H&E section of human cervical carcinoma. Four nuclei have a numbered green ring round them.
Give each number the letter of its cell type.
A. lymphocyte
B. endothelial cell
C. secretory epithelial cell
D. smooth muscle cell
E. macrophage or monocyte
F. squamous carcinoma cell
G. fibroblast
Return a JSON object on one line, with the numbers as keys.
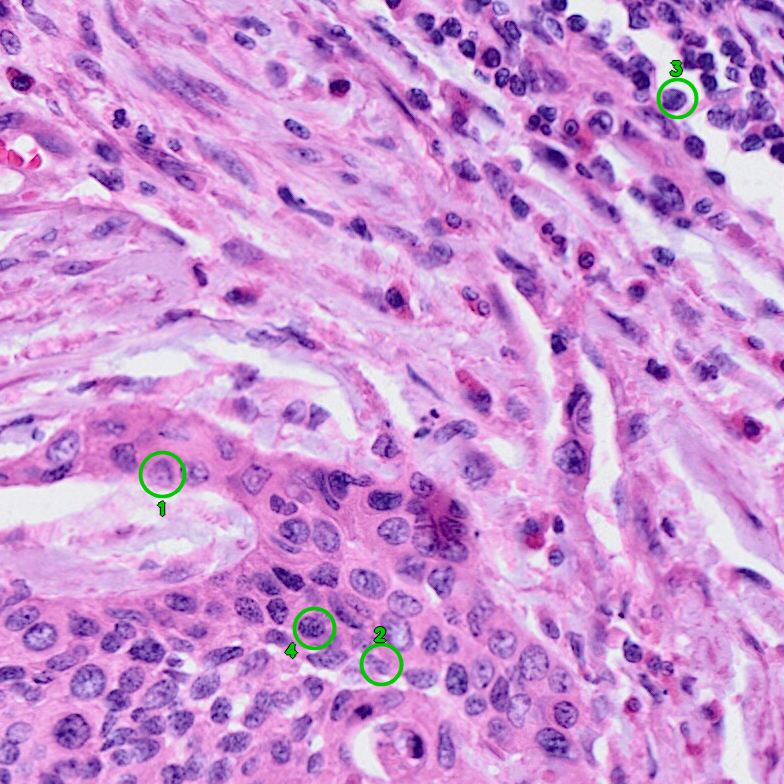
{"1": "F", "2": "F", "3": "A", "4": "F"}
